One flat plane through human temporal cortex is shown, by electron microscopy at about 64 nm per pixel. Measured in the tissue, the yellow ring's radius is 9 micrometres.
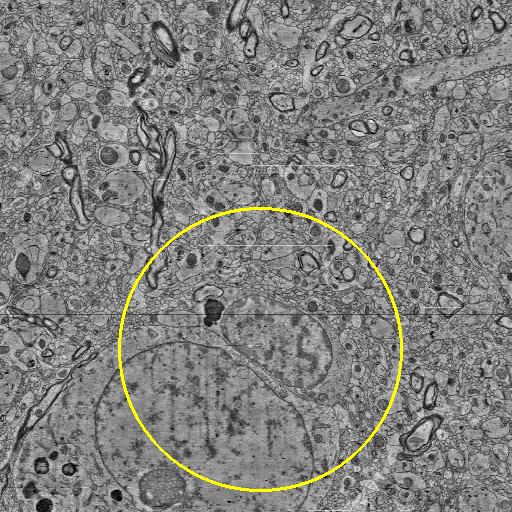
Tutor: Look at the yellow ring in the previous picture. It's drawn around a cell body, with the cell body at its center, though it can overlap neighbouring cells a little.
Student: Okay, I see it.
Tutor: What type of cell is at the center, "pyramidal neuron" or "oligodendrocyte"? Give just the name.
oligodendrocyte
